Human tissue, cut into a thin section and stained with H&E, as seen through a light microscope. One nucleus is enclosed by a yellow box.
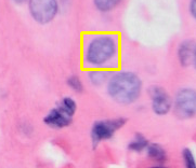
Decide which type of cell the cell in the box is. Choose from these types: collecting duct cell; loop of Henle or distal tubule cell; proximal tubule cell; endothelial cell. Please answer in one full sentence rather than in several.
For cell typing purposes, the cell in the box is a collecting duct cell.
